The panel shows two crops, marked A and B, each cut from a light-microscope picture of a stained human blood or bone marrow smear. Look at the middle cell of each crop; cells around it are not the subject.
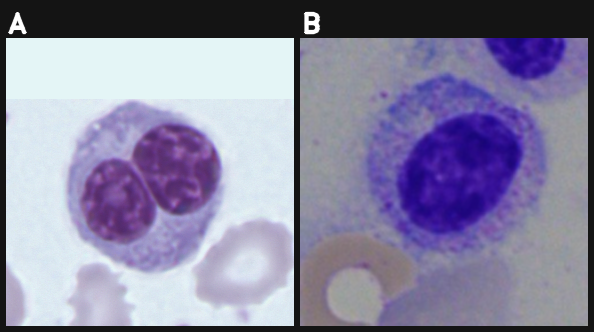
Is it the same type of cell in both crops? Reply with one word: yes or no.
no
